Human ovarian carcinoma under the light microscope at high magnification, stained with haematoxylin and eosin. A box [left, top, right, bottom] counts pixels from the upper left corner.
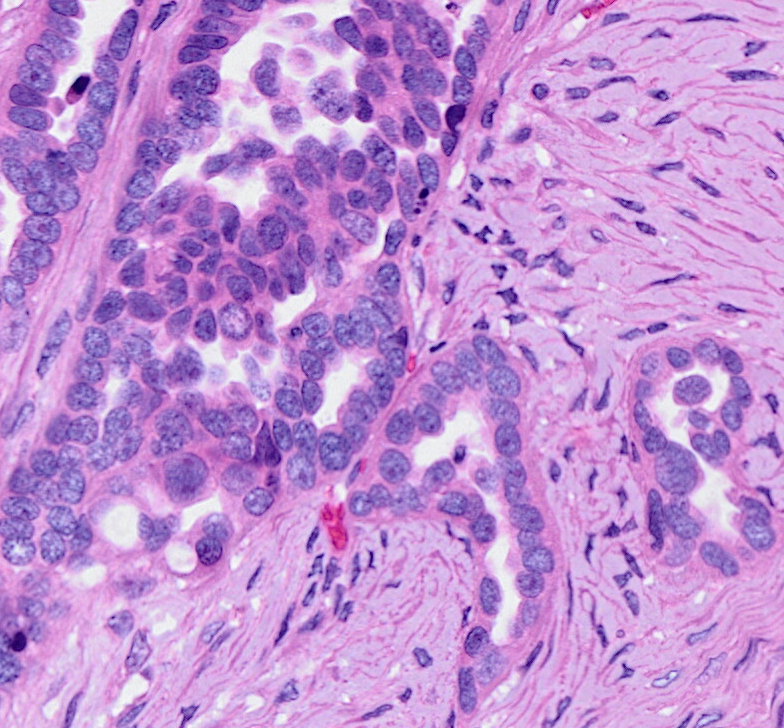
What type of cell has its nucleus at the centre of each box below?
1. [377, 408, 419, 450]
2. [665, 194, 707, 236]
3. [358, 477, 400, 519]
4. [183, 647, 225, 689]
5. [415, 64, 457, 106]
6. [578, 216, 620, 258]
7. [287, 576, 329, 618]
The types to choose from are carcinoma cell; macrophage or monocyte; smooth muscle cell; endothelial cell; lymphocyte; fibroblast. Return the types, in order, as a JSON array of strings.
["carcinoma cell", "fibroblast", "carcinoma cell", "fibroblast", "carcinoma cell", "fibroblast", "fibroblast"]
